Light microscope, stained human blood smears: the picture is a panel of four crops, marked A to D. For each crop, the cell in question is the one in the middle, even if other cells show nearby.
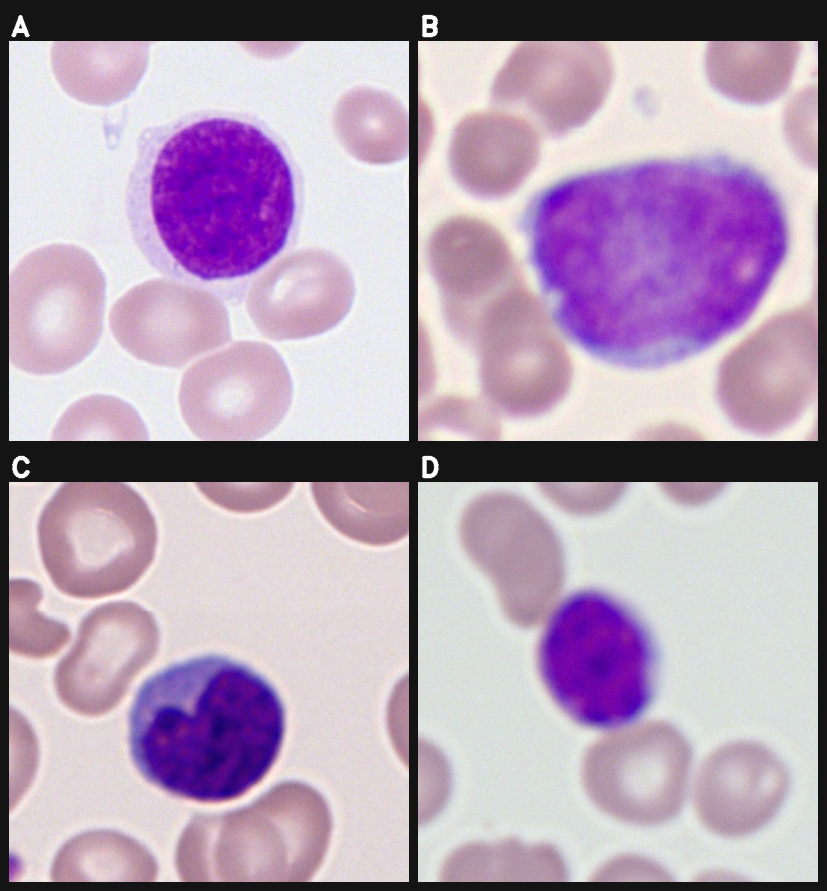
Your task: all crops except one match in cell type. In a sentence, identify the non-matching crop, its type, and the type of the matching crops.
Crop B, showing a myeloblast, is the exception; the others all show lymphocytes.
